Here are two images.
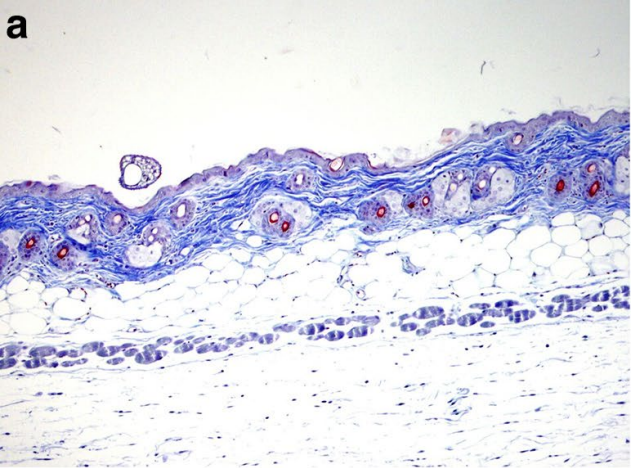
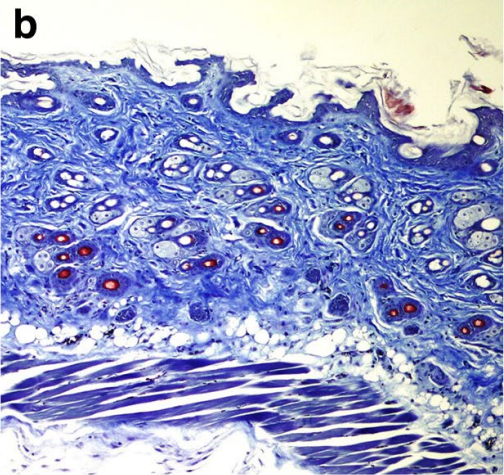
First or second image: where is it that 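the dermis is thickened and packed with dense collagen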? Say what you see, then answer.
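Second image: a broad, dense blue collagen layer fills most of the field down to the muscle. First image: a thin band of blue dermis sits above a wide layer of fat cells.
The second image.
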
